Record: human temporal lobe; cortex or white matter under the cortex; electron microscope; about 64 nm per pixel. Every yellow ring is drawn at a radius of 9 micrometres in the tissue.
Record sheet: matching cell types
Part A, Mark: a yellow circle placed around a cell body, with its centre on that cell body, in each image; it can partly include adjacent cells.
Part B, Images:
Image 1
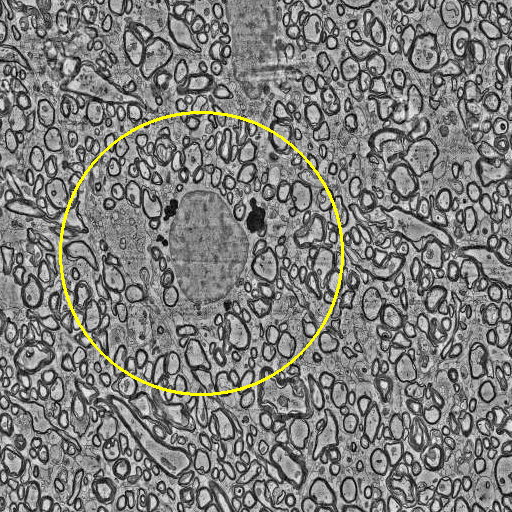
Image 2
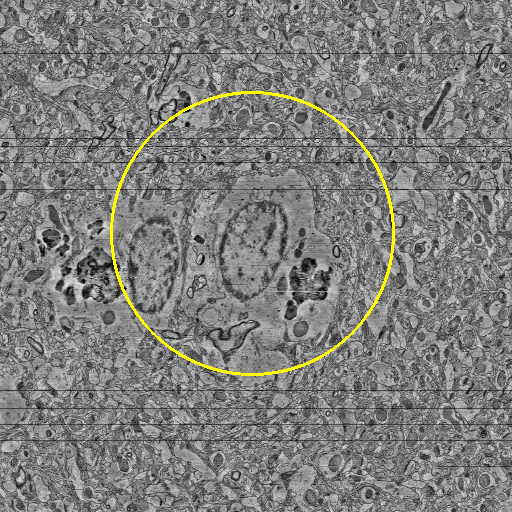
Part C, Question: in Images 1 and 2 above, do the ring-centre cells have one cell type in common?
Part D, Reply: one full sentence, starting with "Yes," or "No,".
No, the ring-centre cells of Image 1 and Image 2 are each of a separate cell type.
